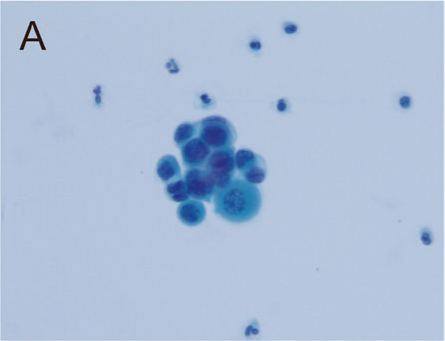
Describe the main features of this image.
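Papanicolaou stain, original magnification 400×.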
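A small, tight group of atypical cells with rounded outlines and blue cytoplasm lies in the centre, the borders between neighbouring cells partly blurred. The nuclei are round and occupy much of each cell, while one larger cell at the lower right has abundant pale blue cytoplasm around a round nucleus. Small scattered cells with dark nuclei lie singly in the surrounding background.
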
